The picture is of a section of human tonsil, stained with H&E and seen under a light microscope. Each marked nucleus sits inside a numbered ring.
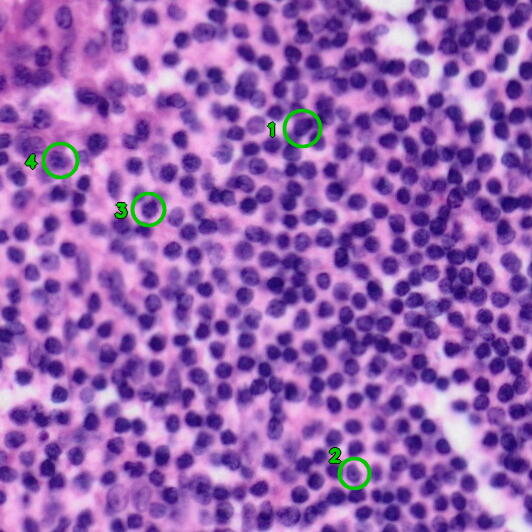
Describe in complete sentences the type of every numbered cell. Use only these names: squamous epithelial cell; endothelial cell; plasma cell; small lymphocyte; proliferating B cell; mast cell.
Cells 1, 2 and 3 are small lymphocytes. Cell 4 is a plasma cell.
